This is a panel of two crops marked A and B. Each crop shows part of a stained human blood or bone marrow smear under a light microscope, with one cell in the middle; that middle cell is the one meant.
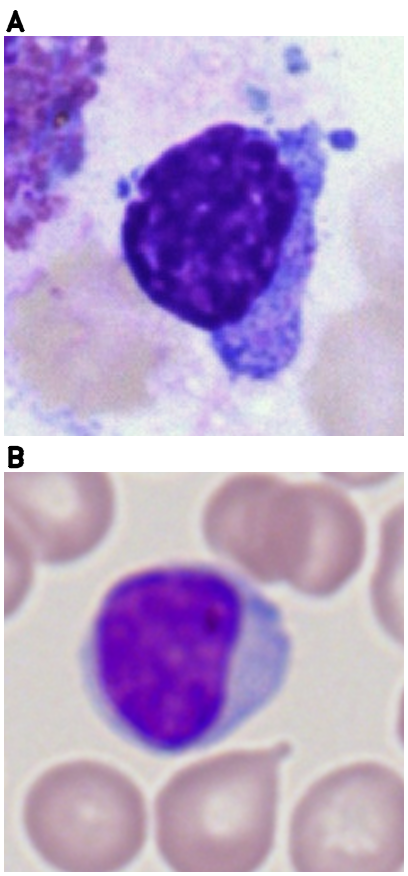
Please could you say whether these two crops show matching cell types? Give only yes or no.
yes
